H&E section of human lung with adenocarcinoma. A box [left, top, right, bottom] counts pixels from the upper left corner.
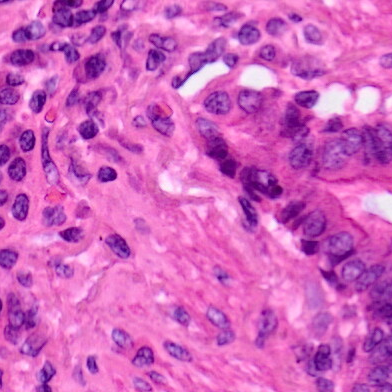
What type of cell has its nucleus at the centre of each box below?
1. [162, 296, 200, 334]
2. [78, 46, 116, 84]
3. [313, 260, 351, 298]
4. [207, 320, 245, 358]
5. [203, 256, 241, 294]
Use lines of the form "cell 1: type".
cell 1: smooth muscle cell or pericyte
cell 2: plasma cell
cell 3: ciliated epithelial cell
cell 4: smooth muscle cell or pericyte
cell 5: smooth muscle cell or pericyte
